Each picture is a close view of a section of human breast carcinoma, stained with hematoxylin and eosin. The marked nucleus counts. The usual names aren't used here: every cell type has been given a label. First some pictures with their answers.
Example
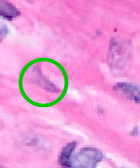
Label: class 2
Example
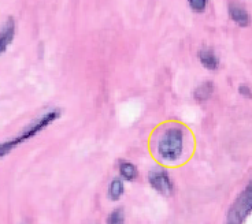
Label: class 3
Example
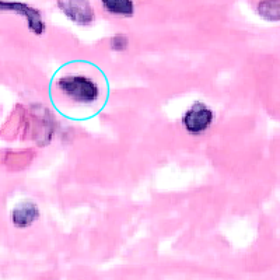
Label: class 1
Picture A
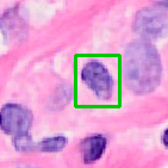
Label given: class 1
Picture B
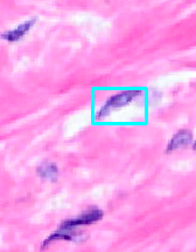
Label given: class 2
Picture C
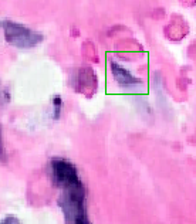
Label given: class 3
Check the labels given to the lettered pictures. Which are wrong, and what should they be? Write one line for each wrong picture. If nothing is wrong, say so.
Nothing to fix; every label fits.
